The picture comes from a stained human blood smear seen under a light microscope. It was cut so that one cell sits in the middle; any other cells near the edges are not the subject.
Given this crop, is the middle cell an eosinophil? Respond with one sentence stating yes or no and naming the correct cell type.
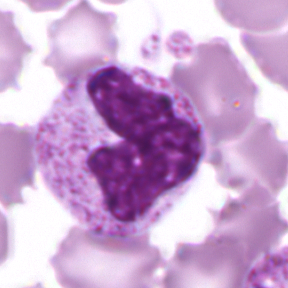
No, the cell at the centre is identified as a band neutrophil, not as an eosinophil.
